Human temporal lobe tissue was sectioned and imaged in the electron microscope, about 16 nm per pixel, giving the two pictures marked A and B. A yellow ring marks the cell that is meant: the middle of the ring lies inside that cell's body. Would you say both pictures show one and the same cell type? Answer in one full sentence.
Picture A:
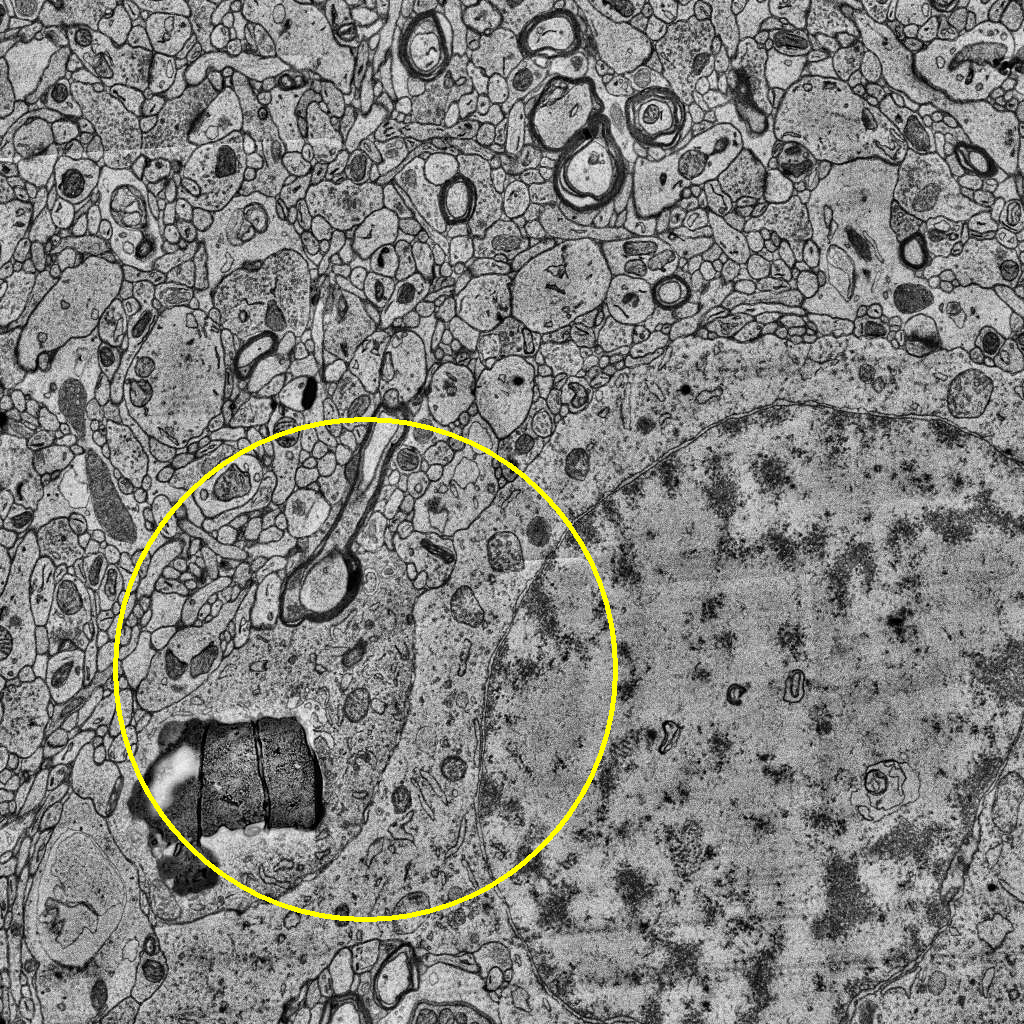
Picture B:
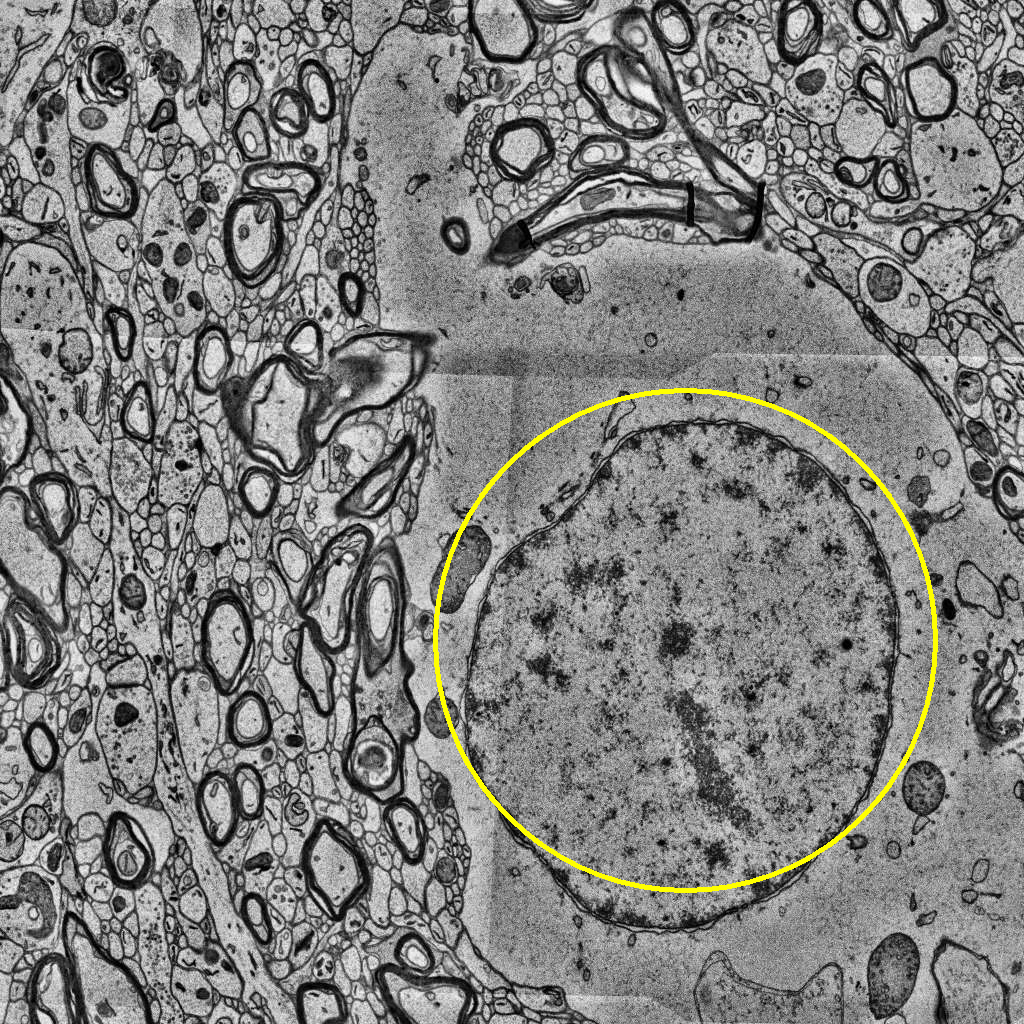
No, they differ: the cell is an oligodendrocyte in picture A and an astrocyte in picture B.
